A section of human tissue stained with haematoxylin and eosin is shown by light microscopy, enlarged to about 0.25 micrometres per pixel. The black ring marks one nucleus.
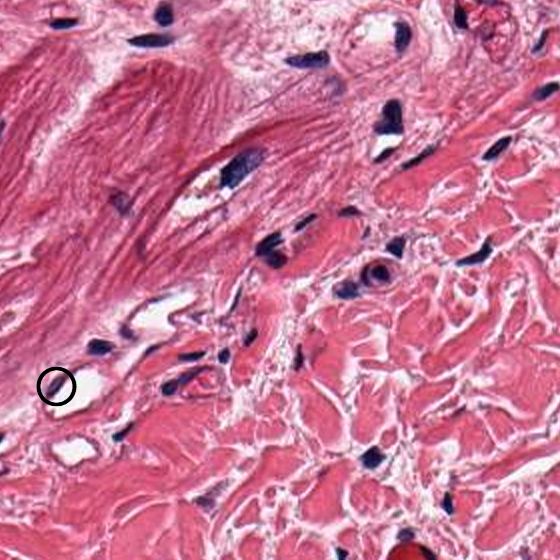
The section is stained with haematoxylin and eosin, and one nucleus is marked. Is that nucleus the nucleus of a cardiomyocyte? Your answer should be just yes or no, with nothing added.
no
